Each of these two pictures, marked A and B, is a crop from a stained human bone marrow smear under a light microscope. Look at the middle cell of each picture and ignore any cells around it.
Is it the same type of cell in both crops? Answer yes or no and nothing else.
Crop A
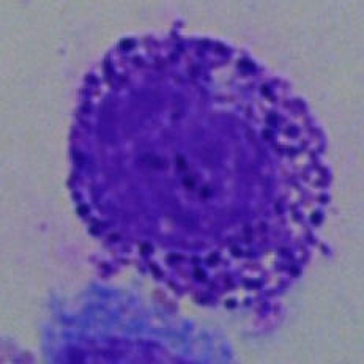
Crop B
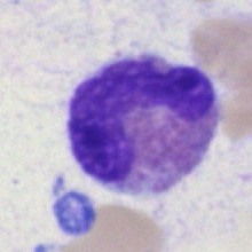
yes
